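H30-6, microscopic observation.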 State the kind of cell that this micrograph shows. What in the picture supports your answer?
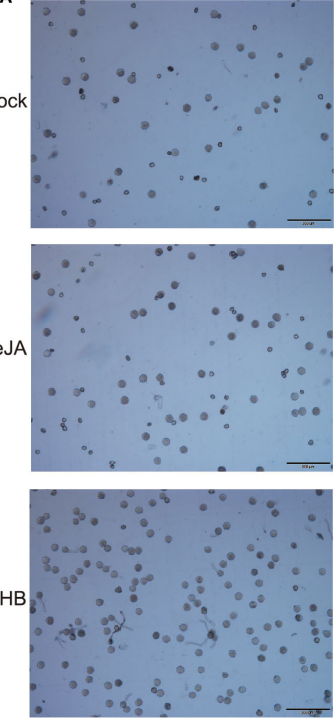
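Many small, separate, roughly round grains lie scattered across a plain background.
Conclusion: pollen grains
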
